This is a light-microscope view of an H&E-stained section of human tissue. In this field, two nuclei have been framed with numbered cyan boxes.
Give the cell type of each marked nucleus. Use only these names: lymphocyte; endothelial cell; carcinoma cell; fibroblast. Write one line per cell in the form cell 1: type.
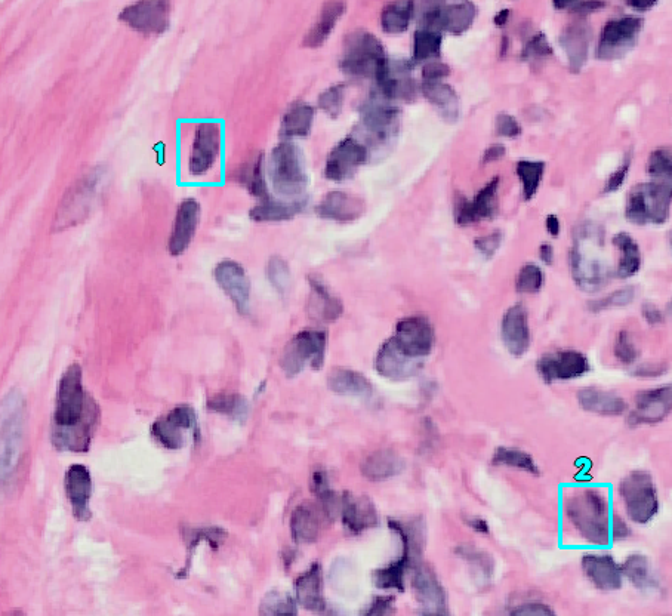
cell 1: lymphocyte
cell 2: carcinoma cell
